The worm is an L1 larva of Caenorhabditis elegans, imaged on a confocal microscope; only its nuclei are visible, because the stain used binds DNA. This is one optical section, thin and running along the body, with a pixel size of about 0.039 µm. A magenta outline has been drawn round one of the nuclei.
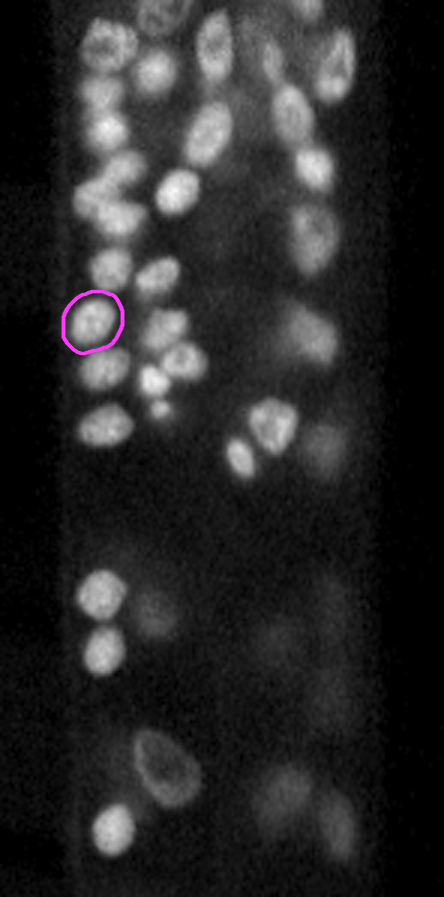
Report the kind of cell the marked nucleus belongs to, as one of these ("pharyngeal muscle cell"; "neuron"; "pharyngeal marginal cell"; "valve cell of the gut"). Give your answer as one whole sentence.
The nucleus comes from a neuron.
